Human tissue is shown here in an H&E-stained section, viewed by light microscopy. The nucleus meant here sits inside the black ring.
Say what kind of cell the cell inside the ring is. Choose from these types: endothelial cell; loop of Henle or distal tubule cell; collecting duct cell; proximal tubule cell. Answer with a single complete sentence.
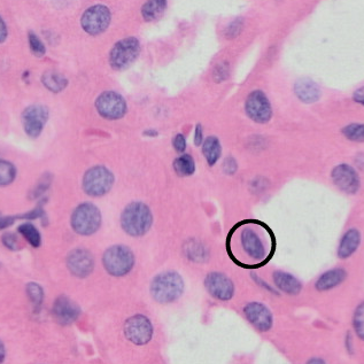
To be brief about it, the cell inside the ring is a loop of Henle or distal tubule cell.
